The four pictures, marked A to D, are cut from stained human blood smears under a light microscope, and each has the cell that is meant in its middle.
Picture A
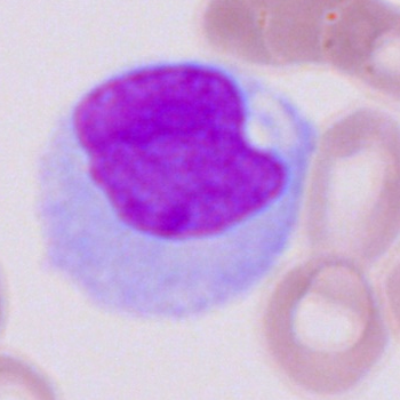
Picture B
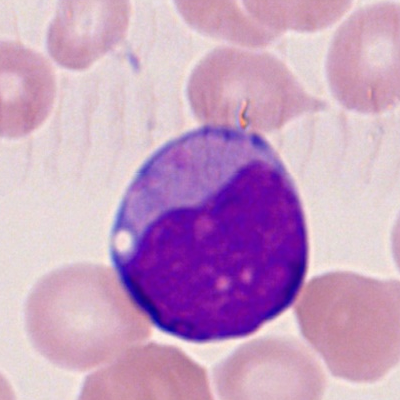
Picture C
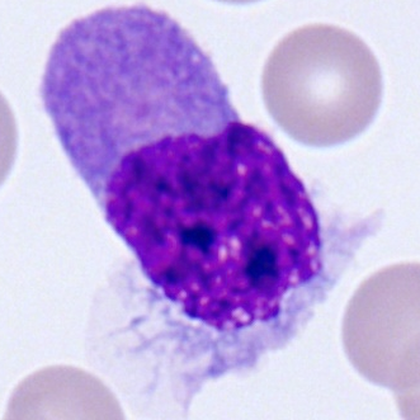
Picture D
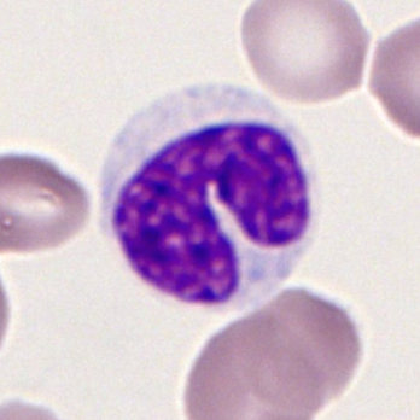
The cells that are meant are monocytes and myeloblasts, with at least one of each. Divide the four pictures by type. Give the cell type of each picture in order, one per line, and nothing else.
monocyte
myeloblast
monocyte
monocyte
